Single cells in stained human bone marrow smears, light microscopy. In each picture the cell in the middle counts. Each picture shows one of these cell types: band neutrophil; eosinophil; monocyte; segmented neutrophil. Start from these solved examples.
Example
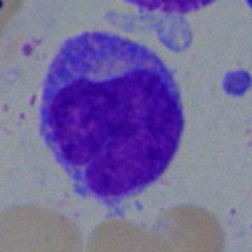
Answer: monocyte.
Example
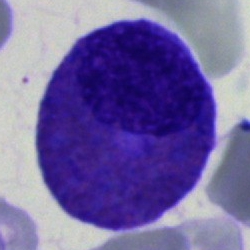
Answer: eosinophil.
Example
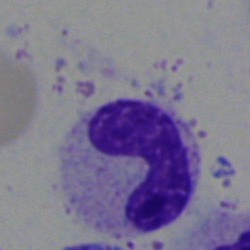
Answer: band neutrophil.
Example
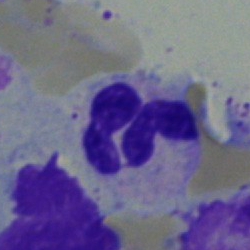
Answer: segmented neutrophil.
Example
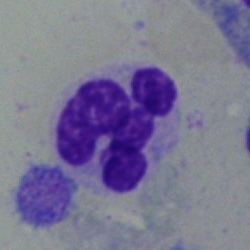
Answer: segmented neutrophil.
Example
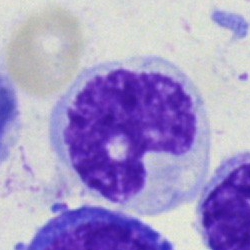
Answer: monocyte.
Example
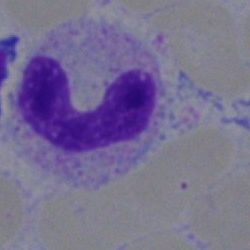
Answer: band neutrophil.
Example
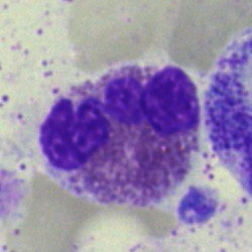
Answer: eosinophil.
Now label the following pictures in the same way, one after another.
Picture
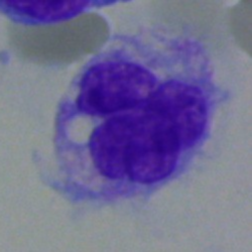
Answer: monocyte.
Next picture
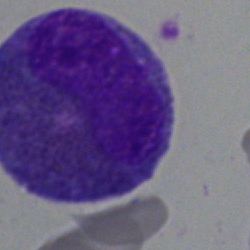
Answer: eosinophil.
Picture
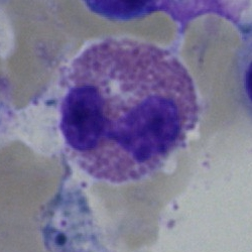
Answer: eosinophil.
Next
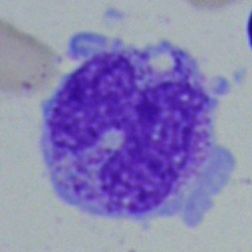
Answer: monocyte.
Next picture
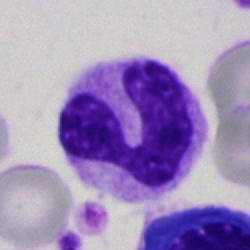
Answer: band neutrophil.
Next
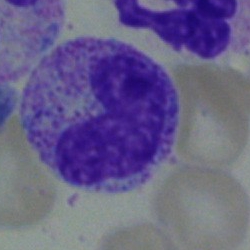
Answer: band neutrophil.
